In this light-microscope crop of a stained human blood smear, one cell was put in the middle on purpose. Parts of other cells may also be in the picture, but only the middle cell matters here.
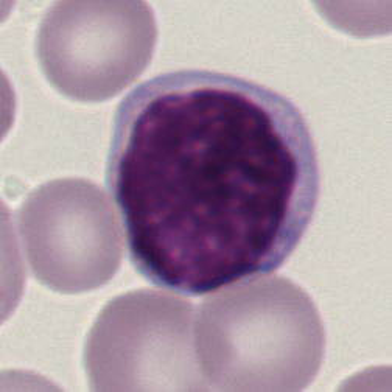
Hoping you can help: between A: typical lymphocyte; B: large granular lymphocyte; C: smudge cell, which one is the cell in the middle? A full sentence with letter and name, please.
The correct option, B, names the middle cell as a large granular lymphocyte.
